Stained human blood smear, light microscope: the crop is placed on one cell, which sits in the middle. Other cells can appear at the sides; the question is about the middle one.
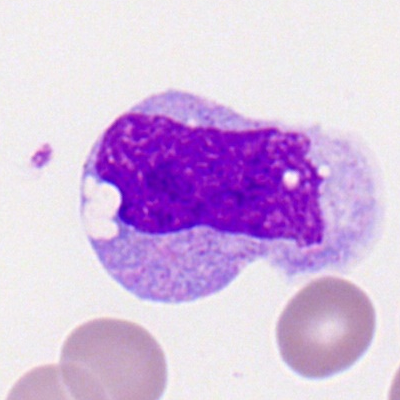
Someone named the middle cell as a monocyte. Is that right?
yes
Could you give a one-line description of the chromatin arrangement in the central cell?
The chromatin is delicate and fine, lacking coarse clumping entirely.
